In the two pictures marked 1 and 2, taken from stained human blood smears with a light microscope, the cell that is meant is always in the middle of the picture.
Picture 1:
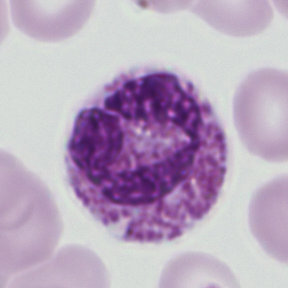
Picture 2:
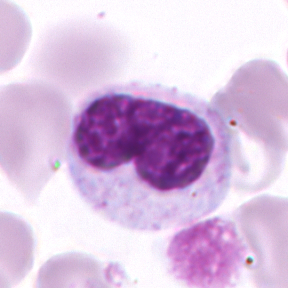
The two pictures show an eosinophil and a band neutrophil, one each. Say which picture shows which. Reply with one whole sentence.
Picture 1 is of an eosinophil, and picture 2 is of a band neutrophil.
